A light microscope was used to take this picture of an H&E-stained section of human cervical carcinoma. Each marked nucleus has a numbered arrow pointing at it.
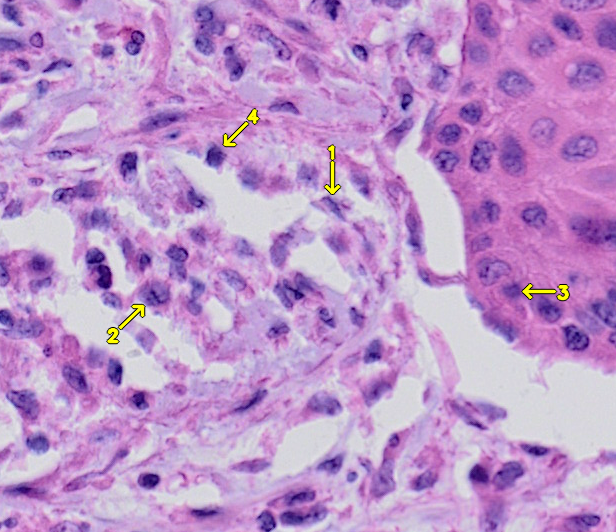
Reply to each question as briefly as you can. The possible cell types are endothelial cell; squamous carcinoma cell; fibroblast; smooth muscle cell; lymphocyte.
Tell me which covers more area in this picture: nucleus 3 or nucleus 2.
2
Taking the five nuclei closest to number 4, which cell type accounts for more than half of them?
fibroblast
